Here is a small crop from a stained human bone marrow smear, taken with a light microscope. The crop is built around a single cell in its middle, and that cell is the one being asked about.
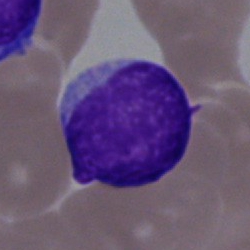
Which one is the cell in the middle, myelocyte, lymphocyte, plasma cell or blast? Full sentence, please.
Framed in the middle of the crop is a blast.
